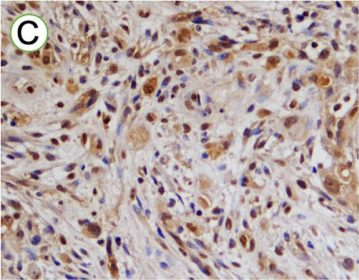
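This is tumour tissue with neoplastic cells of markedly varied form. Nuclei range from small and oval to large, rounded and hyperchromatic, and many cells are elongated and spindle-shaped. Some larger cells have abundant cytoplasm with light brown staining, and several nuclei are stained brown. The cells lie loosely scattered in a fibrillary background without an orderly arrangement.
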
